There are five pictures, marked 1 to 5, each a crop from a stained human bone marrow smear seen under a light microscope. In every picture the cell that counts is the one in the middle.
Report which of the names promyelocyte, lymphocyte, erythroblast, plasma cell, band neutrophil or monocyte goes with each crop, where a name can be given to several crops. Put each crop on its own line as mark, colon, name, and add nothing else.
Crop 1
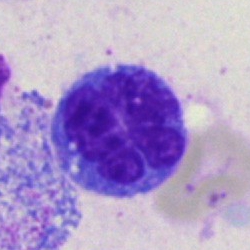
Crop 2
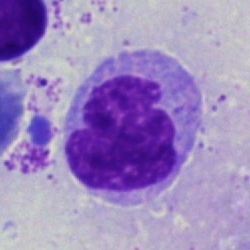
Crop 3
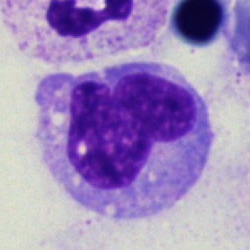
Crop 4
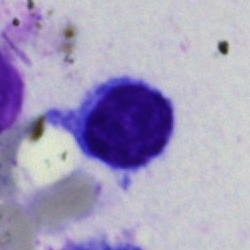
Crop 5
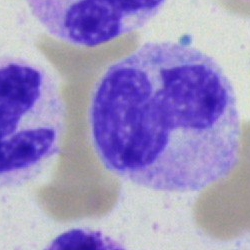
1: monocyte
2: monocyte
3: monocyte
4: lymphocyte
5: band neutrophil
